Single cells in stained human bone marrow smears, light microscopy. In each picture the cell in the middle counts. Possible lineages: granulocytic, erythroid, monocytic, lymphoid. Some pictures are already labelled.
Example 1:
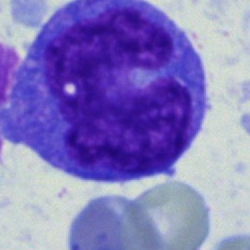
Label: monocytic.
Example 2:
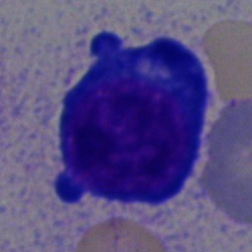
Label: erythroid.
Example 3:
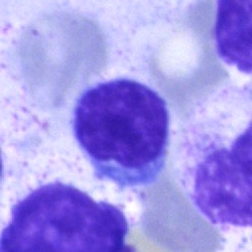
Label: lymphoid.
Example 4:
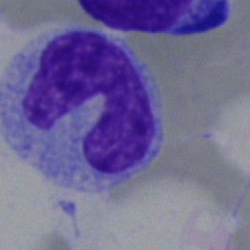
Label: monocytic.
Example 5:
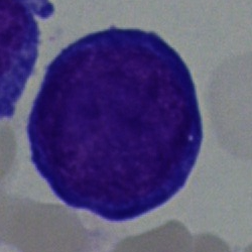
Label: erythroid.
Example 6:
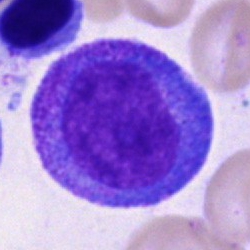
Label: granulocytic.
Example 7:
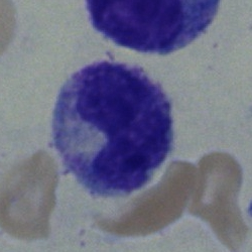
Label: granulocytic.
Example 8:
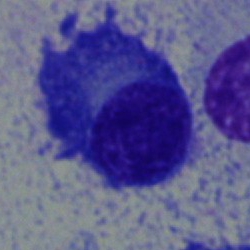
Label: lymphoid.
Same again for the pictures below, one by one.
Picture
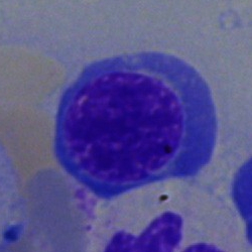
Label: erythroid.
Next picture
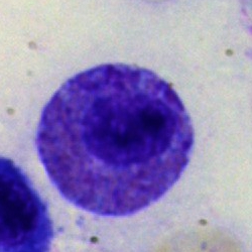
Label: granulocytic.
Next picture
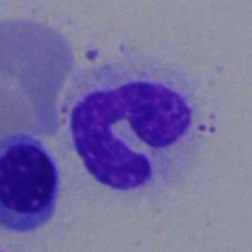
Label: granulocytic.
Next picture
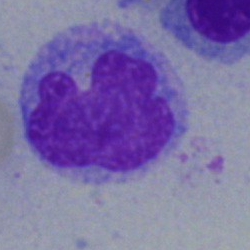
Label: monocytic.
